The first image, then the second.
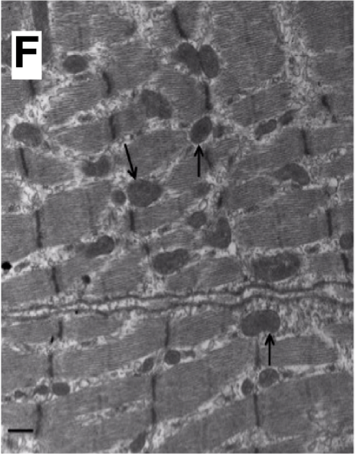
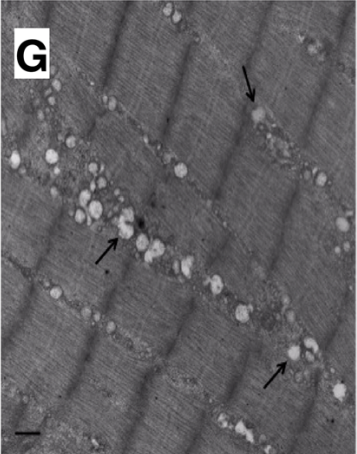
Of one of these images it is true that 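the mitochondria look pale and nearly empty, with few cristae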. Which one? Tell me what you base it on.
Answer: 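Second image: the bodies between the myofibrils are pale, round and look hollow. First image: the mitochondria are dark and dense between the myofibrils. The answer: the second image.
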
